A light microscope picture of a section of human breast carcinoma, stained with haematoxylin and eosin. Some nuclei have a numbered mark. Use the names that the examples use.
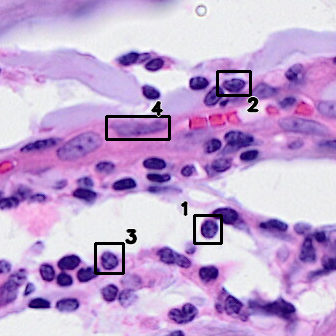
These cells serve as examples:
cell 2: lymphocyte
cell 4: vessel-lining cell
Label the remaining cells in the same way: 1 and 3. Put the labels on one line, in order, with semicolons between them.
lymphocyte; lymphocyte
